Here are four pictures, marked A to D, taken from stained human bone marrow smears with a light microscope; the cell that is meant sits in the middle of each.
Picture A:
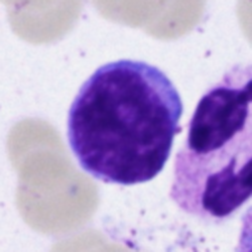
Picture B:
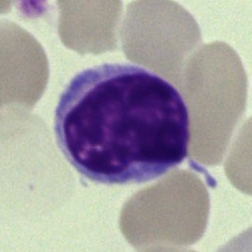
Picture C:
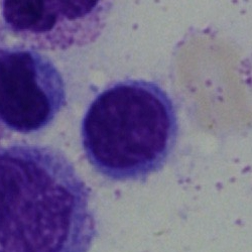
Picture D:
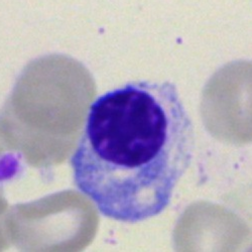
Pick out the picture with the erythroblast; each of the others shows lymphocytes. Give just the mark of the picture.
D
